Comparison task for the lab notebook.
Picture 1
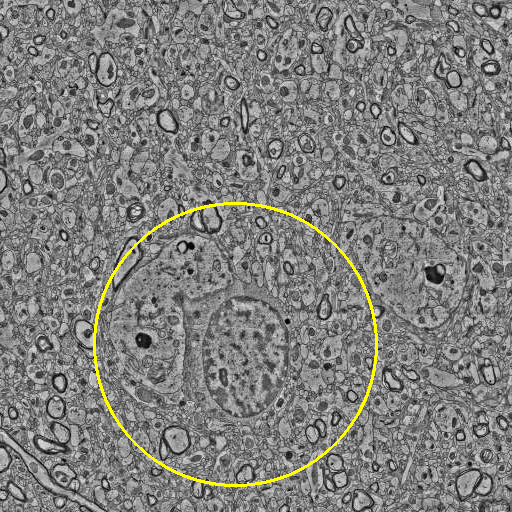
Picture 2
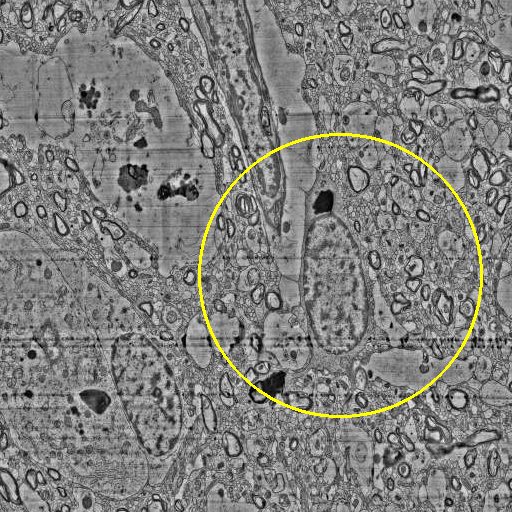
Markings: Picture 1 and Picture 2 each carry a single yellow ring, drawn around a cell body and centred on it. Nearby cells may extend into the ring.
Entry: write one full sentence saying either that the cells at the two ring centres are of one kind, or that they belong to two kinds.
The cells sitting at the ring centres in Picture 1 and Picture 2 are of one kind.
